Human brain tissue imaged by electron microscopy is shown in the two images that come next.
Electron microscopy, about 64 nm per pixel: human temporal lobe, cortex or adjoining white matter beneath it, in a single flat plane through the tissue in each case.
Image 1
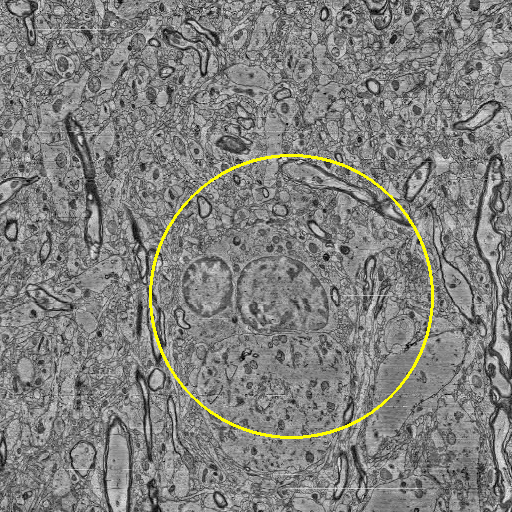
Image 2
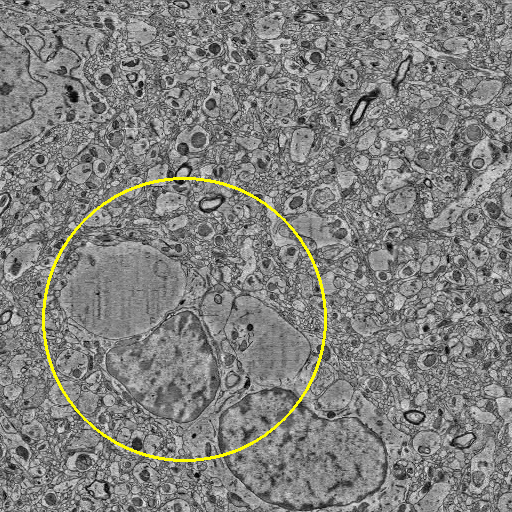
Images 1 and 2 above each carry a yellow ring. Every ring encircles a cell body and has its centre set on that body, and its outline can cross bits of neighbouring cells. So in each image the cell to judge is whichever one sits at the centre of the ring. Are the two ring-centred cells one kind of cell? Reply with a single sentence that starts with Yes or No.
No, in Image 1 and Image 2 the cells at the centres of their rings fall into two types.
